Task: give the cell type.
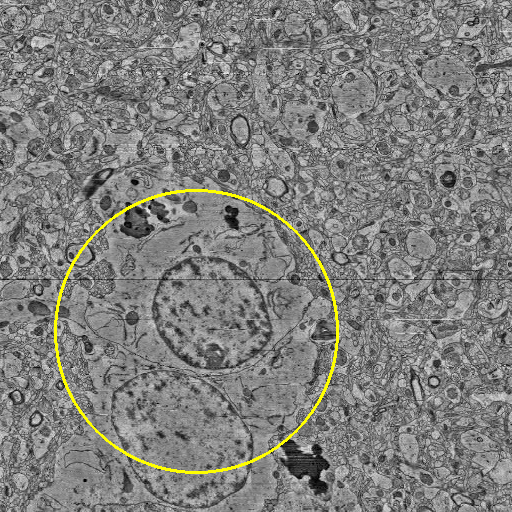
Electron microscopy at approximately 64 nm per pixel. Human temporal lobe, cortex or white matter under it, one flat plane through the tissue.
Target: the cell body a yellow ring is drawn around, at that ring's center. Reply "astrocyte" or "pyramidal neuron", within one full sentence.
In this picture, the cell whose body lies at the ring's center is an astrocyte.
